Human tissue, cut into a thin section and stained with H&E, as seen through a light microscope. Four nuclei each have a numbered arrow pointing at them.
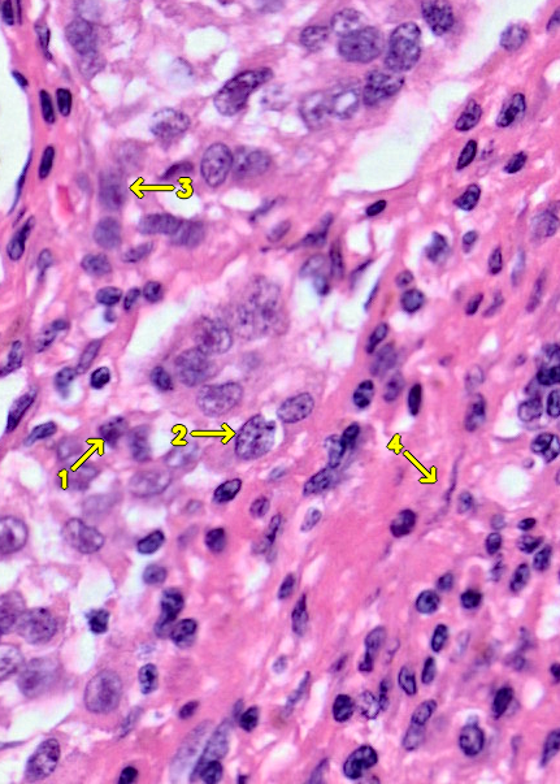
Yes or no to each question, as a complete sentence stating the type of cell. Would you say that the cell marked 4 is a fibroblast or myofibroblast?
Yes, in this section the cell numbered 4 is a fibroblast or myofibroblast.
